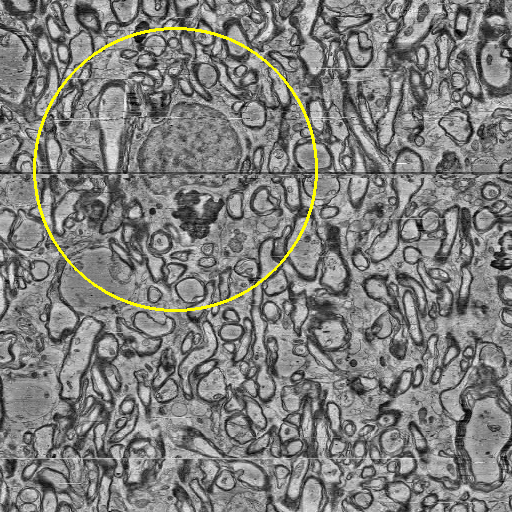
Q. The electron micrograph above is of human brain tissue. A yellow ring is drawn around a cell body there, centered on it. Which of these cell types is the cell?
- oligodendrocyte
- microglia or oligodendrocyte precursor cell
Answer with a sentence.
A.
The cell under the ring's center is an oligodendrocyte.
